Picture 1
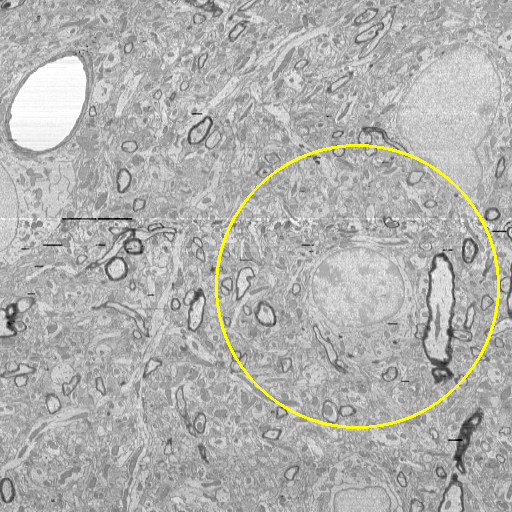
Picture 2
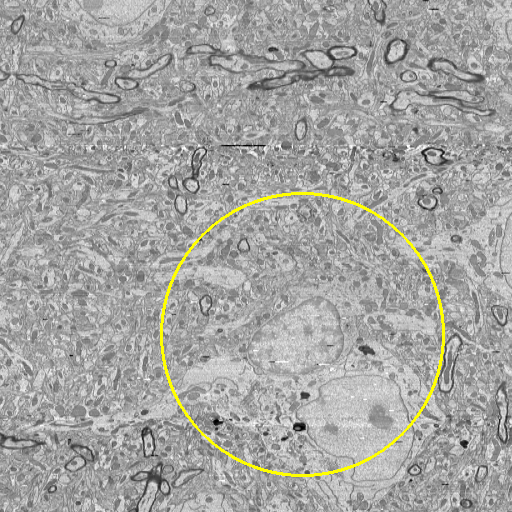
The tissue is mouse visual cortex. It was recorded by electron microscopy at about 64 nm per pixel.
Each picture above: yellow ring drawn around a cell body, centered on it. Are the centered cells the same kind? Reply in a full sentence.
Yes, the two cells are the same kind.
